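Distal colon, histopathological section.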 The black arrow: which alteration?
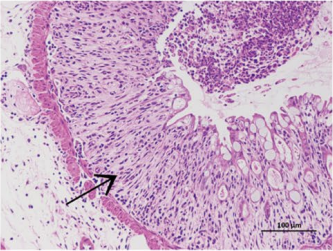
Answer: Inflammation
